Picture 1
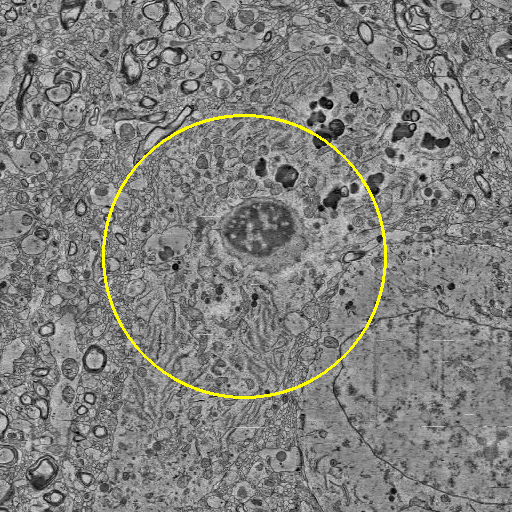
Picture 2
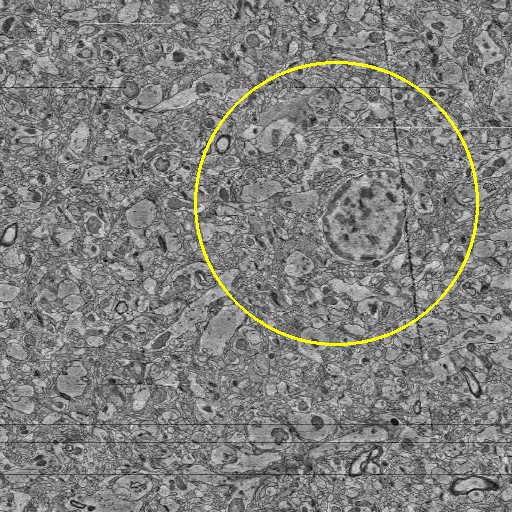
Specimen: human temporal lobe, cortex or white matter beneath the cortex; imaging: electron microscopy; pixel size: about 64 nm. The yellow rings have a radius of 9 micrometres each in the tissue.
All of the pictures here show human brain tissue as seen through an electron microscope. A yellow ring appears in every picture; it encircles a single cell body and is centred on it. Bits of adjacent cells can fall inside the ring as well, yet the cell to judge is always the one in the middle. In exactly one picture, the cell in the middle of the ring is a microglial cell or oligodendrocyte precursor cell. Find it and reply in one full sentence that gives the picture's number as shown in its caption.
Of all the pictures, picture 2 has the right cell at the centre of its ring.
